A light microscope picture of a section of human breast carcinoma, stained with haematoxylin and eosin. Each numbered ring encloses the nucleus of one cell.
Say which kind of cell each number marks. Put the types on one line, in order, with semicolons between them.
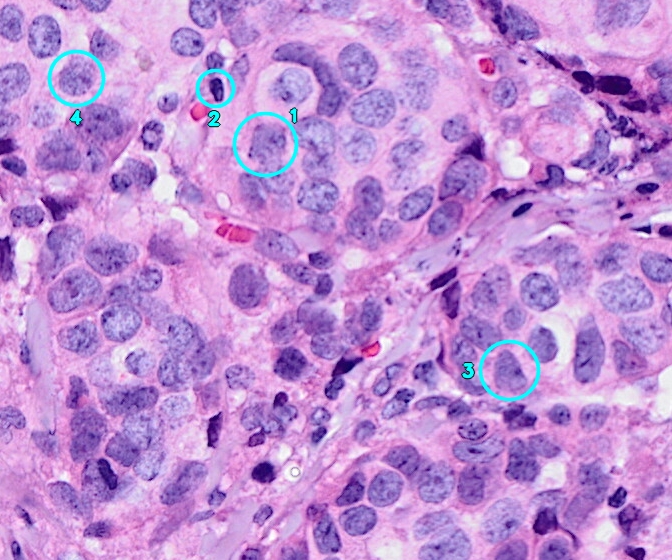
carcinoma cell; lymphocyte; carcinoma cell; carcinoma cell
